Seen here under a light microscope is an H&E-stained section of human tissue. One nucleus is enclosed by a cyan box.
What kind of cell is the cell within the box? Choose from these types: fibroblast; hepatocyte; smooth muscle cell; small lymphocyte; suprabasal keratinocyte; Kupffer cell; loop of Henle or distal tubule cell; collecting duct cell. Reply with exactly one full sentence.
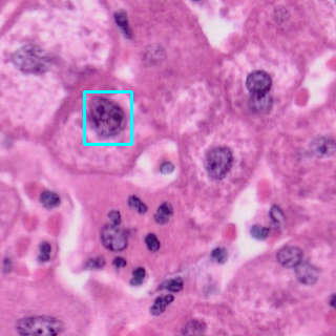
In short, the cell within the box on this section is a hepatocyte.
